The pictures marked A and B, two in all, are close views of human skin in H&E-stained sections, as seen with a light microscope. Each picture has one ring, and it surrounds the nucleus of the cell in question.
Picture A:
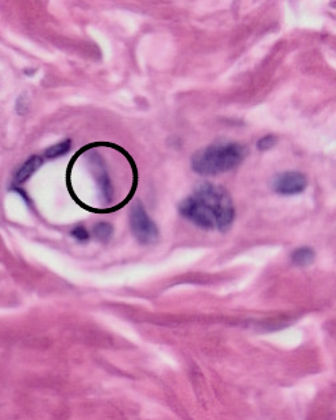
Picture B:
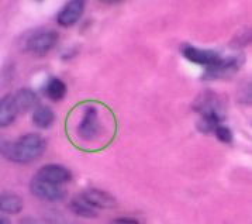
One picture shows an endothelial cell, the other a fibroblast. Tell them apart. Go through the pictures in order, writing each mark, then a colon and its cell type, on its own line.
A: endothelial cell
B: fibroblast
